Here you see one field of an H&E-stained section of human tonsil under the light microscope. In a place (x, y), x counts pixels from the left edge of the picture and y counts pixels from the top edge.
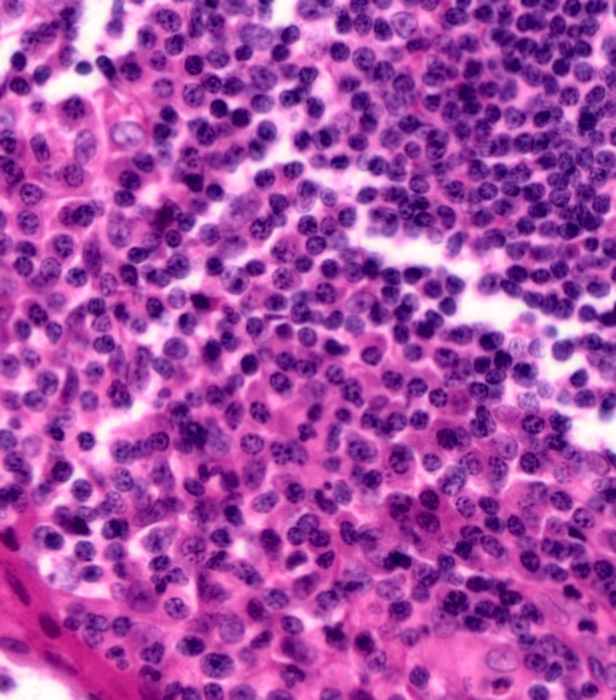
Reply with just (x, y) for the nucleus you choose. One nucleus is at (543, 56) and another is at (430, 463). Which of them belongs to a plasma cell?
(430, 463)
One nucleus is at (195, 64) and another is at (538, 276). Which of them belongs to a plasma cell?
(195, 64)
